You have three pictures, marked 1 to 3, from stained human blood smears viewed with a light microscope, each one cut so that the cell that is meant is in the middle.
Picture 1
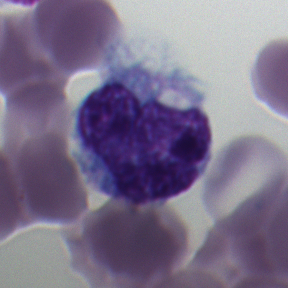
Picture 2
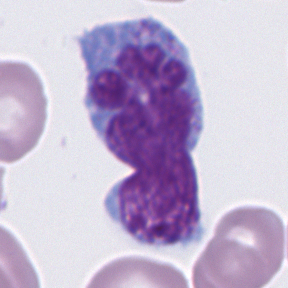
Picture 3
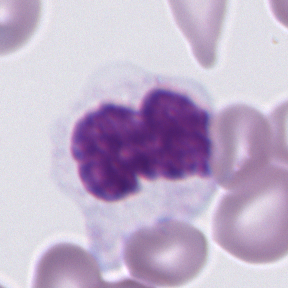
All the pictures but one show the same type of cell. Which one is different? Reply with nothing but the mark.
3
